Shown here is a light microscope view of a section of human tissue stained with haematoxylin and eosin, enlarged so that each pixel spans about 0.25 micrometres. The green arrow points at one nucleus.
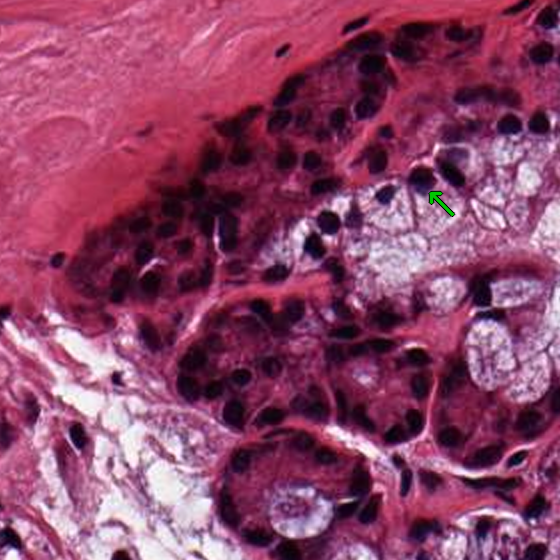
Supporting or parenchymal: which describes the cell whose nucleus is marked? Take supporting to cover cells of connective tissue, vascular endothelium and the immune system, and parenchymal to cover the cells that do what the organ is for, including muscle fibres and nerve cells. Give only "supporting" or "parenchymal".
parenchymal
